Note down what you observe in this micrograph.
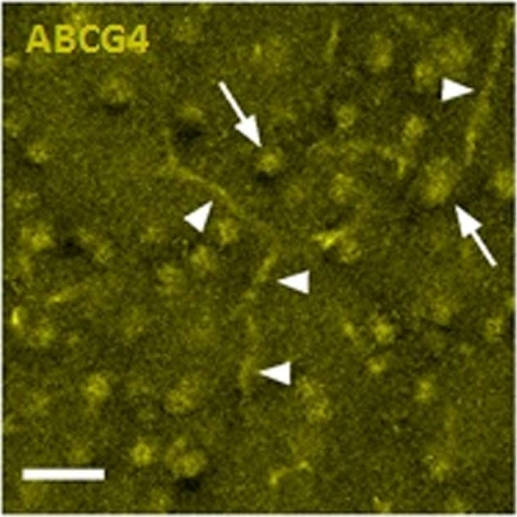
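Brain parenchyma with scattered parenchymal cells and capillaries. Numerous rounded yellow cell bodies of similar size are spread fairly evenly through a finely granular yellow background, some with a darker central area. Faint thin yellow lines run between them, branching like small vessels; these are the capillaries, whose walls carry weak yellow staining. A few dark round holes without staining appear in the neuropil. No layering is visible.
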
